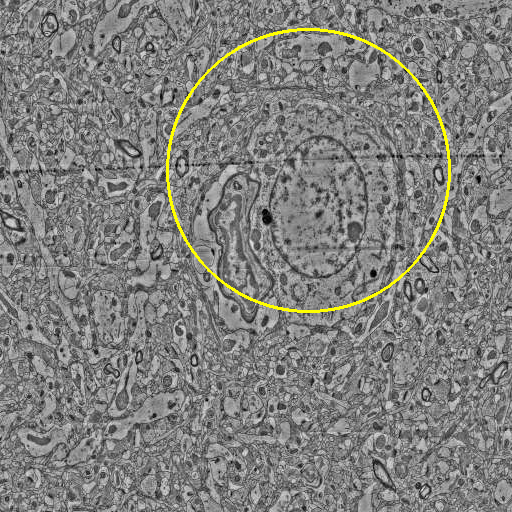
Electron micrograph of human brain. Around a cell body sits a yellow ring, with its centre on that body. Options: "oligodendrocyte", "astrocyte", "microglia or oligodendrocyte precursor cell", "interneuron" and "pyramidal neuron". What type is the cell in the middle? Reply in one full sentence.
The cell sitting at the centre of the yellow ring is a pyramidal neuron.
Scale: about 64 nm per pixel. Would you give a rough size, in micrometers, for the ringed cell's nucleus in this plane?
In this plane, roughly 9 by 7 micrometres.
